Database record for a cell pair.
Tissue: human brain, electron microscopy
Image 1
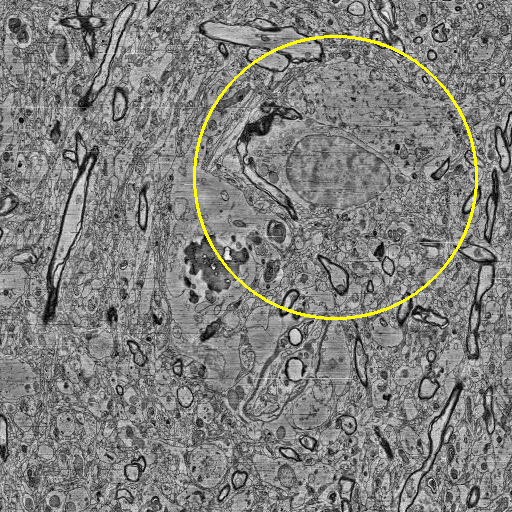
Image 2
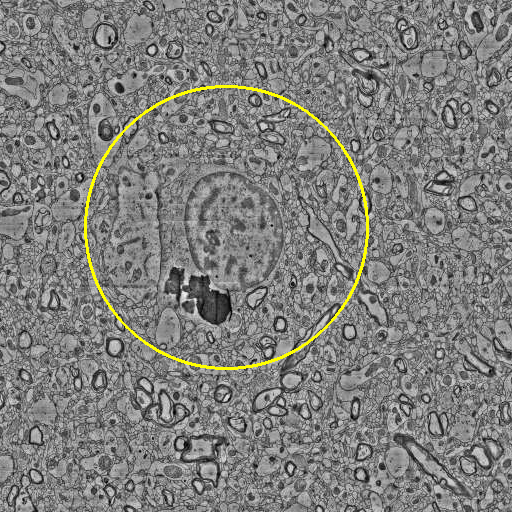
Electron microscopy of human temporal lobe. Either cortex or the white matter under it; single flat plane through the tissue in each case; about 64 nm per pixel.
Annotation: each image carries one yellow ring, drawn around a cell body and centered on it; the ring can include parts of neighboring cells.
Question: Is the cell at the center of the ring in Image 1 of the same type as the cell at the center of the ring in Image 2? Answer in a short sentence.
Yes, the cells are of the same type.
